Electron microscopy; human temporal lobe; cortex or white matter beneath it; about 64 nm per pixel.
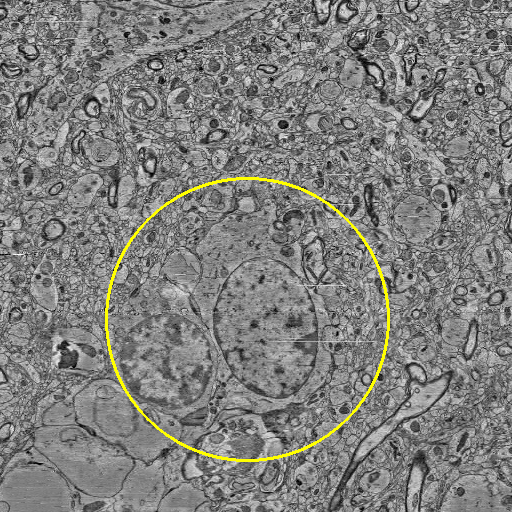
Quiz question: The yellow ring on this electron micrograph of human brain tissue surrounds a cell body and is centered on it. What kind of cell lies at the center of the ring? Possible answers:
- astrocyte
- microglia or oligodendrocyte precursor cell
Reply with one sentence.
The ring's center lies on a microglial cell or oligodendrocyte precursor cell.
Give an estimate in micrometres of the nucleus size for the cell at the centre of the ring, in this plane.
In this plane, roughly 9 by 6 micrometres.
